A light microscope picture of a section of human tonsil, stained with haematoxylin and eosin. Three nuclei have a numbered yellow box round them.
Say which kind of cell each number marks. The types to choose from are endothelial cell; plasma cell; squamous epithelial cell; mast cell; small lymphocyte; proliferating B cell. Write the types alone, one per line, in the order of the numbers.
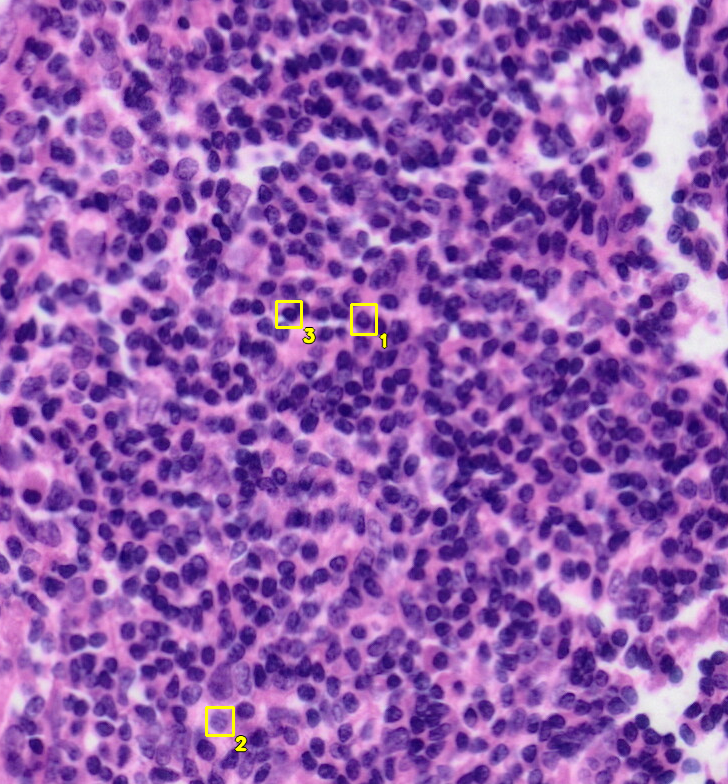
small lymphocyte
proliferating B cell
small lymphocyte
